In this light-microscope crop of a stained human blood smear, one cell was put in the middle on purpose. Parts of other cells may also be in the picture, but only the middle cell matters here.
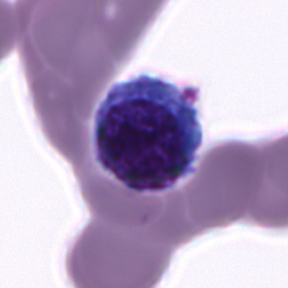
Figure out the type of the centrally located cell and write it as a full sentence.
This particular crop is centered on a plasma cell.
